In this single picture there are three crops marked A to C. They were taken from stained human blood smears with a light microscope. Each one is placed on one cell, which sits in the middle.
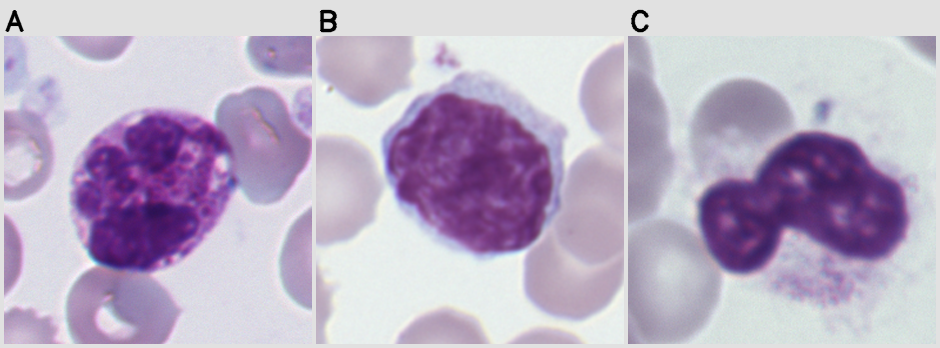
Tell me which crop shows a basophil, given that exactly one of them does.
A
